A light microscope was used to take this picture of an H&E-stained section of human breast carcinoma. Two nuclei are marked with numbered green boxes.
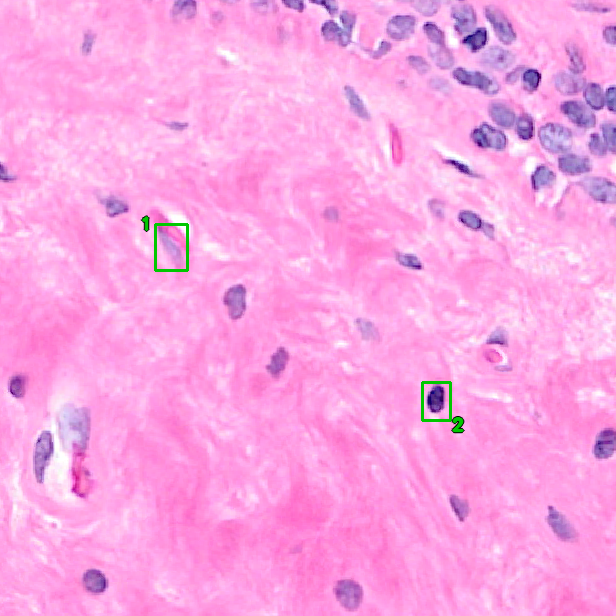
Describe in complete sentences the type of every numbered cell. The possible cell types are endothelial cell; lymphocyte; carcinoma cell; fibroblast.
Cell 1 is an endothelial cell and cell 2 is a lymphocyte.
